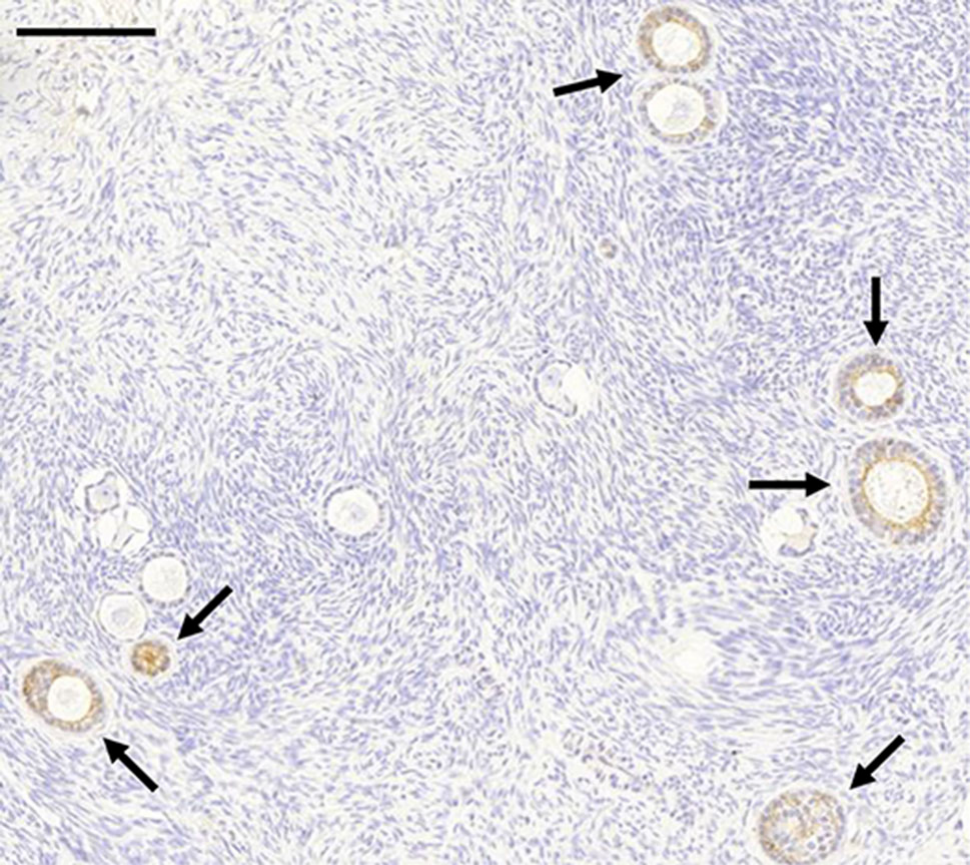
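This is the ovarian cortex, where small primary follicles lie scattered in a dense stroma. The stroma is made of closely packed spindle-shaped cells with elongated blue nuclei, running in swirling bundles.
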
